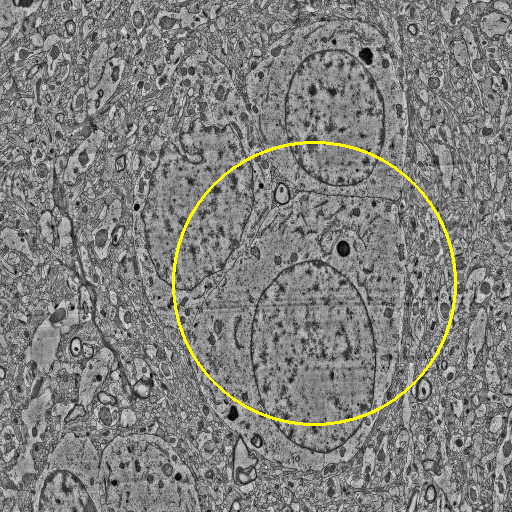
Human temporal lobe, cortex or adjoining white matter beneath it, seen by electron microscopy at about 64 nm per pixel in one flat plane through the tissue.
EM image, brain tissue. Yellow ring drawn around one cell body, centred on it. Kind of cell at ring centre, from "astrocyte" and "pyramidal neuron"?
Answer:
pyramidal neuron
